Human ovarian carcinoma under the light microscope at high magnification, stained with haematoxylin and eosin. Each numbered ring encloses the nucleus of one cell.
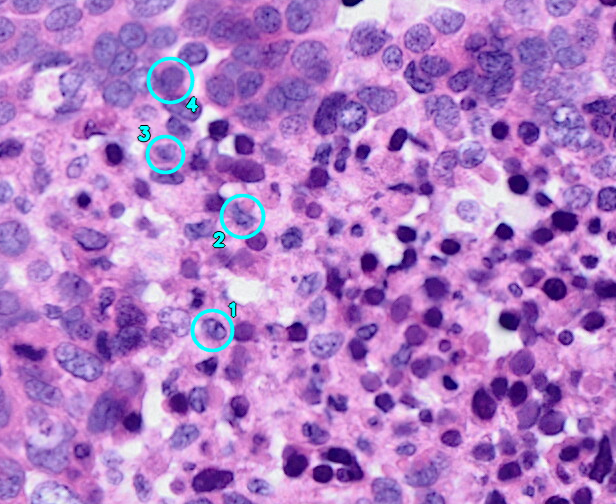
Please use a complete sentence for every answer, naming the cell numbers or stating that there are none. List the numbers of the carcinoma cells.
It is only cell 4 that is a carcinoma cell among the numbered cells.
